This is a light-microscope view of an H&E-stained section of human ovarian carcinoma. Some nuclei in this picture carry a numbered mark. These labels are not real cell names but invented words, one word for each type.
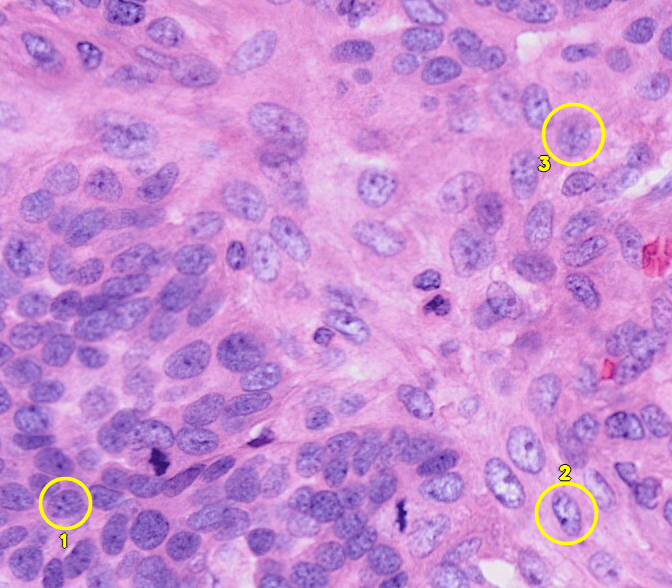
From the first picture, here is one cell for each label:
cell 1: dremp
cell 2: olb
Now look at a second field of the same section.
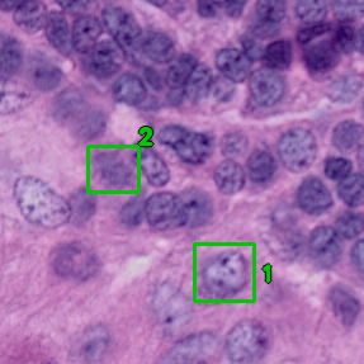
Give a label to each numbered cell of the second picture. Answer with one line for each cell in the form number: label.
1: olb
2: dremp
